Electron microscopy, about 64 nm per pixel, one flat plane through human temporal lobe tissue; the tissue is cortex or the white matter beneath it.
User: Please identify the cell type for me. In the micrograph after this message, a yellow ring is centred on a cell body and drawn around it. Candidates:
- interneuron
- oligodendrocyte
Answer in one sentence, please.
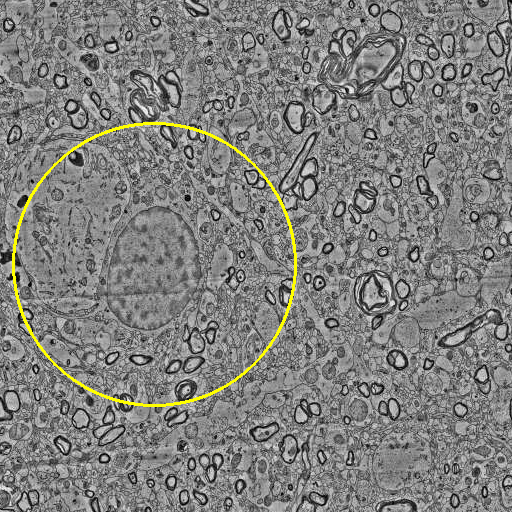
The ring is drawn around the cell body of an oligodendrocyte.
